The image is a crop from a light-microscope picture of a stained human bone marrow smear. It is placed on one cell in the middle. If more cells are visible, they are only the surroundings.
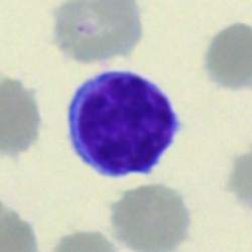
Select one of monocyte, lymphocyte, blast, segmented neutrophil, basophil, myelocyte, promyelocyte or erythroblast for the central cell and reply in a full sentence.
The cell the crop is centered on is a lymphocyte.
